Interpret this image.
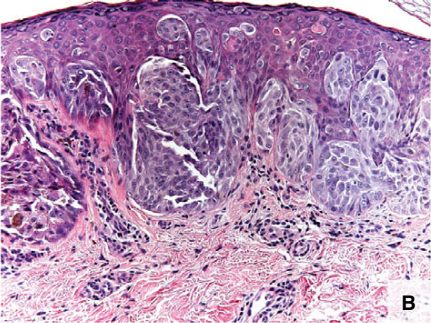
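This is skin with a junctional melanocytic lesion: large nests of spindled to epithelioid melanocytes hang vertically down from the epidermis into the dermal papillae. The cells have abundant pale, glassy cytoplasm, large nuclei and visible nucleoli, and some single melanocytes lie scattered higher up within the epidermis. Small dark lymphocytes gather in the dermis beneath the nests.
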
